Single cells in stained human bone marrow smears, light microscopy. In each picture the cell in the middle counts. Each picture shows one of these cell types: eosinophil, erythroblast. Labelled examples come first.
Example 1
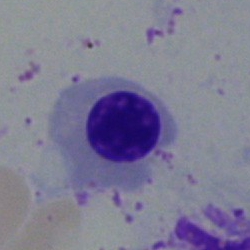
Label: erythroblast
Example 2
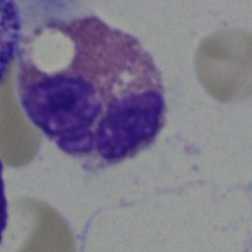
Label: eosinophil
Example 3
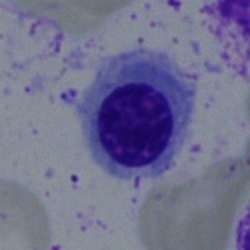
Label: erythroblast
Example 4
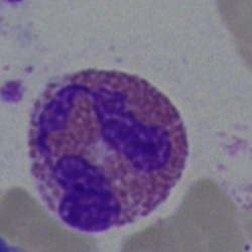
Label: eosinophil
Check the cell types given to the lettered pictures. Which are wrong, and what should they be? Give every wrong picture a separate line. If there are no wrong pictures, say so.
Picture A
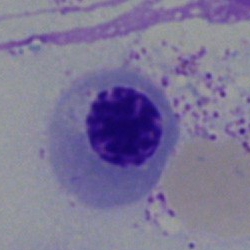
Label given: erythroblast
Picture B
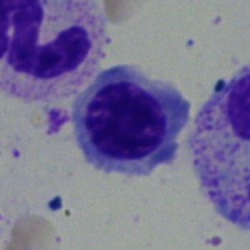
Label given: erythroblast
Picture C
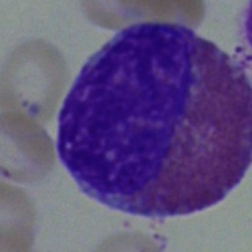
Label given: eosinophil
All labels are correct.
